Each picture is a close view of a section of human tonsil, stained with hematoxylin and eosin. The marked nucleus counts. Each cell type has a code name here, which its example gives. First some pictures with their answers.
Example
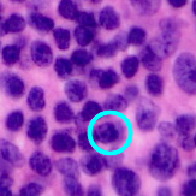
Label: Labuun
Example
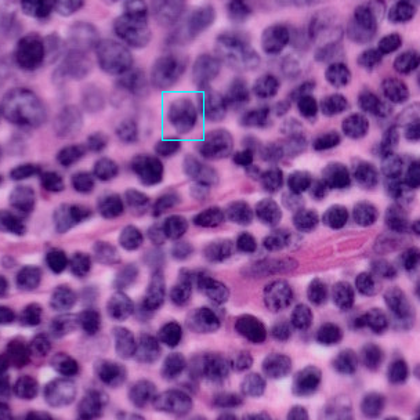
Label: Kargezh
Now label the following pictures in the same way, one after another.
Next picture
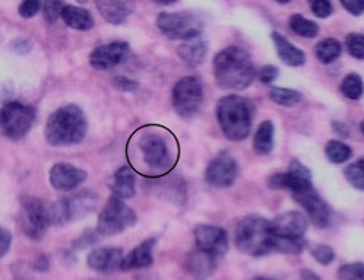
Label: Kargezh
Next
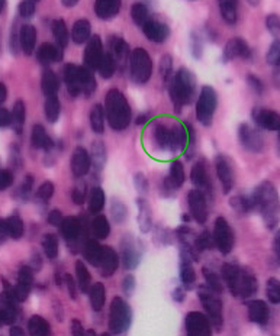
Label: Kargezh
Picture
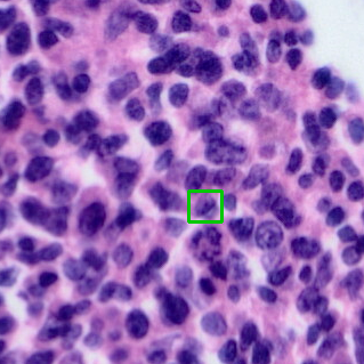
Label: Kargezh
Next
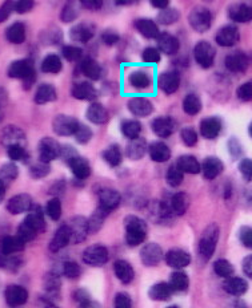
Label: Labuun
